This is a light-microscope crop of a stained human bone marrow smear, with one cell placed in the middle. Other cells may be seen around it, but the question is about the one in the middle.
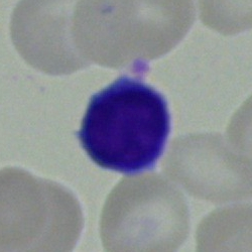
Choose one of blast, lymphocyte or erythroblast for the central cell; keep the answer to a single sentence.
The cell nearest the centre of this crop is a lymphocyte.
